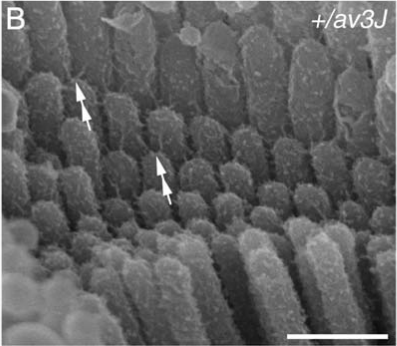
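A close view of a hair bundle shows rod-like stereocilia with rounded tips, standing in rows of different height, the taller ones behind the shorter. Their surfaces are rough and granular. Fine filaments can be made out running from the tips of shorter stereocilia upward to the sides of the taller stereocilia behind them; in places two filaments seem to diverge from one tip toward neighbouring taller stereocilia. In the foreground, taller stereocilia of another row are seen slightly out of focus.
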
